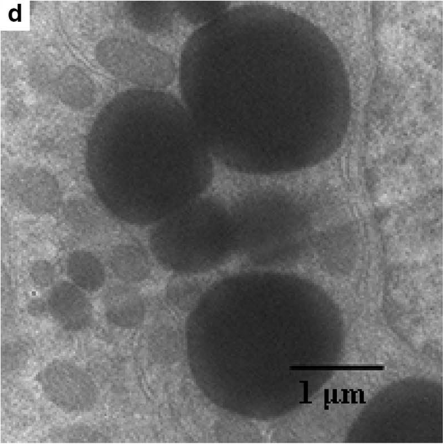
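The droplets crowd together, some pressing against each other, and vary considerably in size. Smaller, paler round profiles lie among them in the surrounding cytoplasm. Toward one side, membrane outlines of the cell can be followed running alongside the droplets.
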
